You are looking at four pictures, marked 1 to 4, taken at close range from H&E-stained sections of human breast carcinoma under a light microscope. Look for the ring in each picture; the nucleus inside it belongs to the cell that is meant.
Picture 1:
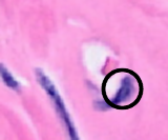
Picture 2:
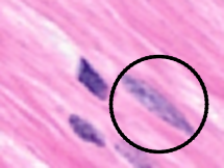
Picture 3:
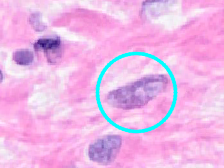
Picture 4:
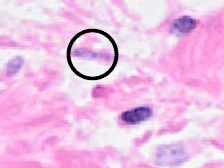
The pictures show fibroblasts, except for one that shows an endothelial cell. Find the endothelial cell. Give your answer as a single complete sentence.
The picture with the endothelial cell is 1.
